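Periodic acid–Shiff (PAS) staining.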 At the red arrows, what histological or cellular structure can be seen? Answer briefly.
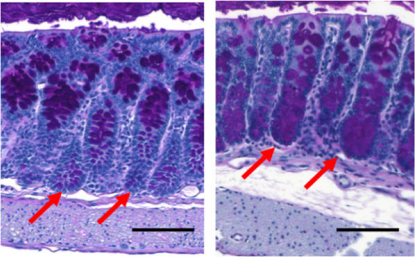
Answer: Intestinal crypt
